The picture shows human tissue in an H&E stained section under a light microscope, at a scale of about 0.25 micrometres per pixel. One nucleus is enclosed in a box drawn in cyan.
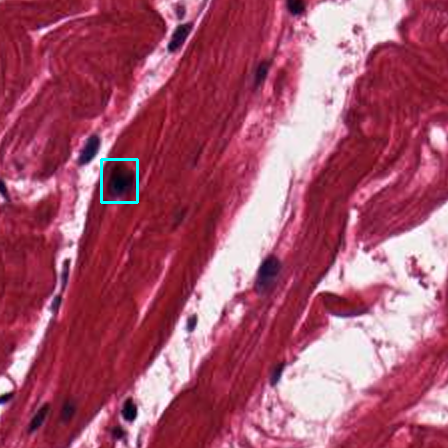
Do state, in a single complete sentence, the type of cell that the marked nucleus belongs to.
The nucleus that has been marked belongs to a cardiomyocyte.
